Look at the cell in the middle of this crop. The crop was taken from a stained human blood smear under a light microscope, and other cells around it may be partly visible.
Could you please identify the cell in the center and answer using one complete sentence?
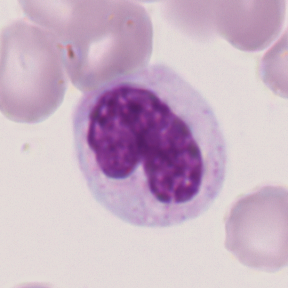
The crop's centre is taken up by a band neutrophil.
